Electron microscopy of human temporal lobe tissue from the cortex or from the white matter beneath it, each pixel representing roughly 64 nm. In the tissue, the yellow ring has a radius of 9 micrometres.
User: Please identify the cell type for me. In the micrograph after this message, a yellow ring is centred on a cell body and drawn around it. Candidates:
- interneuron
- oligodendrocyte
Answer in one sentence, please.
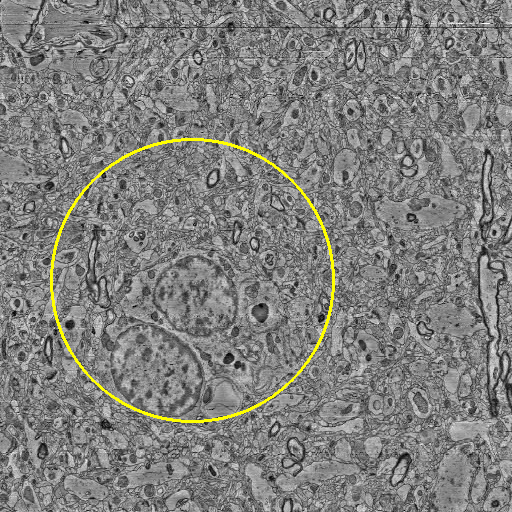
The ring is drawn around the cell body of an interneuron.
